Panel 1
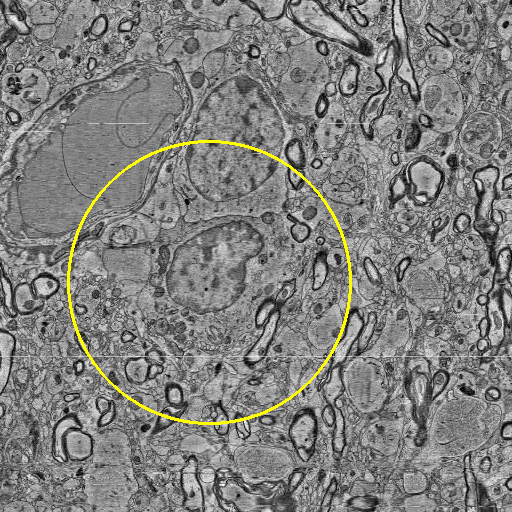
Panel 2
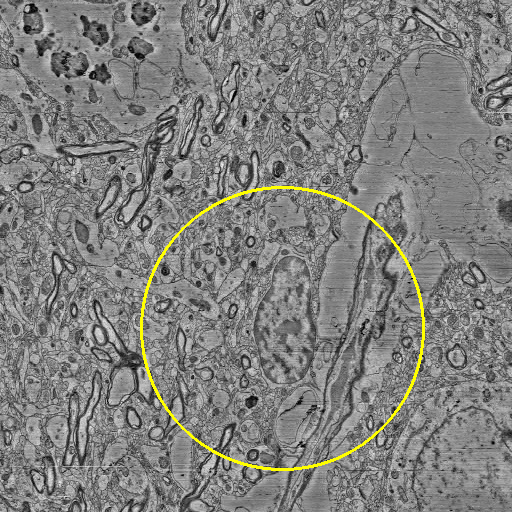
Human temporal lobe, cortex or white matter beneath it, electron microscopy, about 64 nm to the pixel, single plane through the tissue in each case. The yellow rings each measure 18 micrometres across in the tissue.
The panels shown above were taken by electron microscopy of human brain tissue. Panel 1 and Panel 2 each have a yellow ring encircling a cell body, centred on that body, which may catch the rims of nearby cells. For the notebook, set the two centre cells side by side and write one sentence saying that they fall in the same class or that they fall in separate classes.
The centred cells of Panel 1 and Panel 2 fall in separate classes.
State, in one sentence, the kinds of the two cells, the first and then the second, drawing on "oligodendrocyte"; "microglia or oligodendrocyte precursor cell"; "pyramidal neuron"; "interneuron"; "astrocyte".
The ring in the second picture is centred on a microglial cell or oligodendrocyte precursor cell, the ring in the first on an oligodendrocyte.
